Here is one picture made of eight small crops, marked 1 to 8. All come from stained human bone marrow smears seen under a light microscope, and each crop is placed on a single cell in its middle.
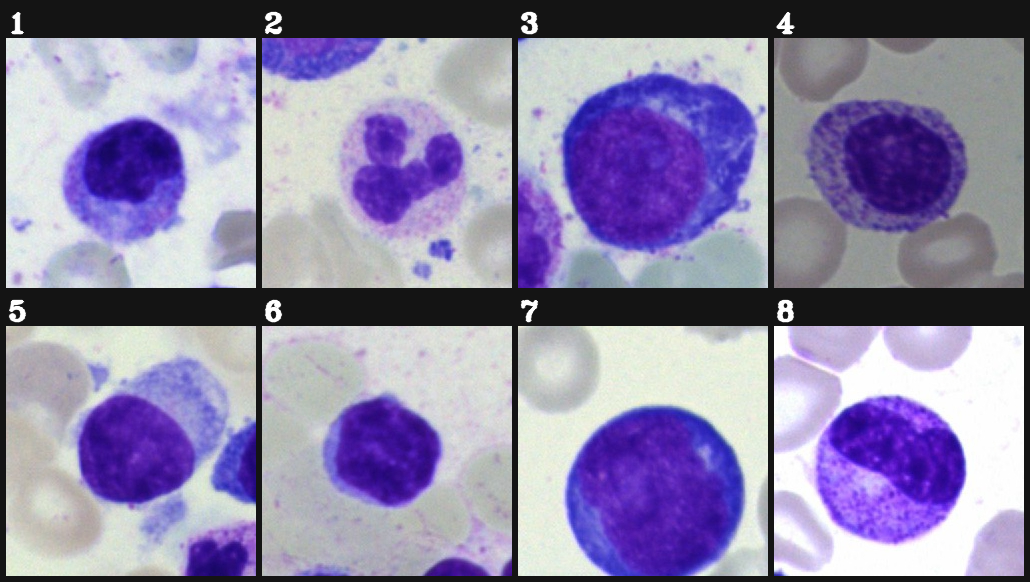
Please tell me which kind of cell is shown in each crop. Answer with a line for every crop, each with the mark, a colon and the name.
1: myelocyte
2: segmented neutrophil
3: proerythroblast
4: myelocyte
5: hairy cell
6: lymphocyte
7: proerythroblast
8: band neutrophil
